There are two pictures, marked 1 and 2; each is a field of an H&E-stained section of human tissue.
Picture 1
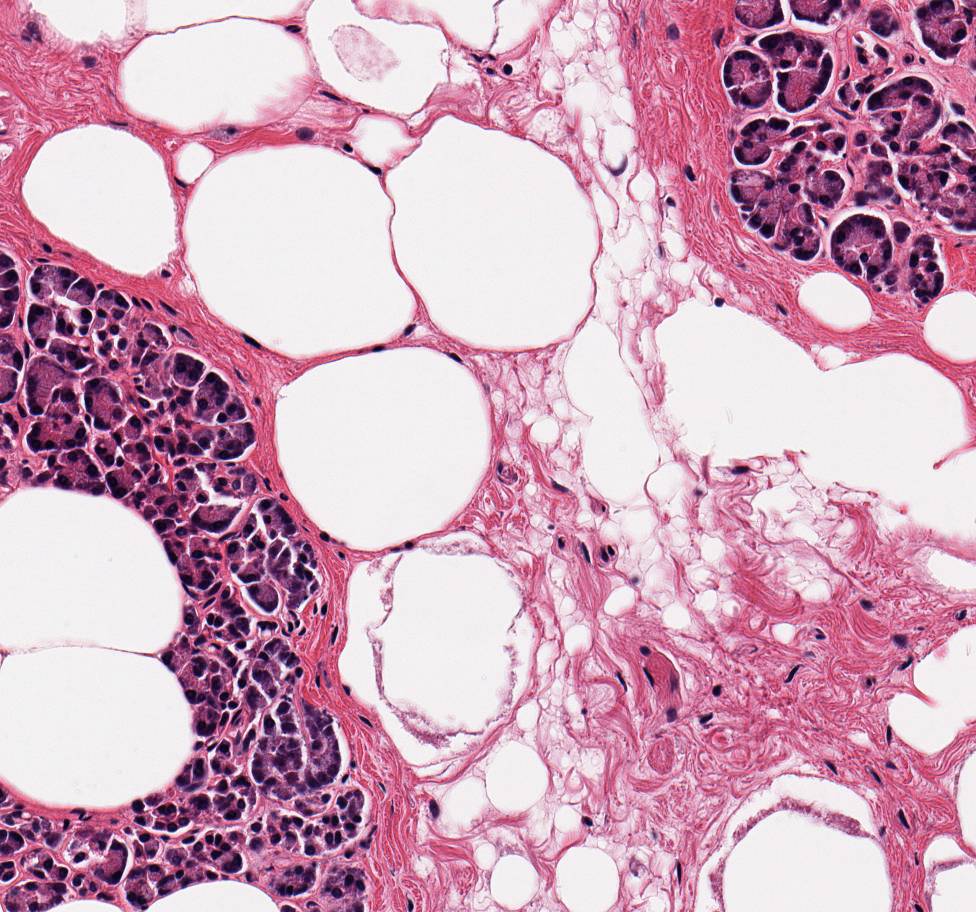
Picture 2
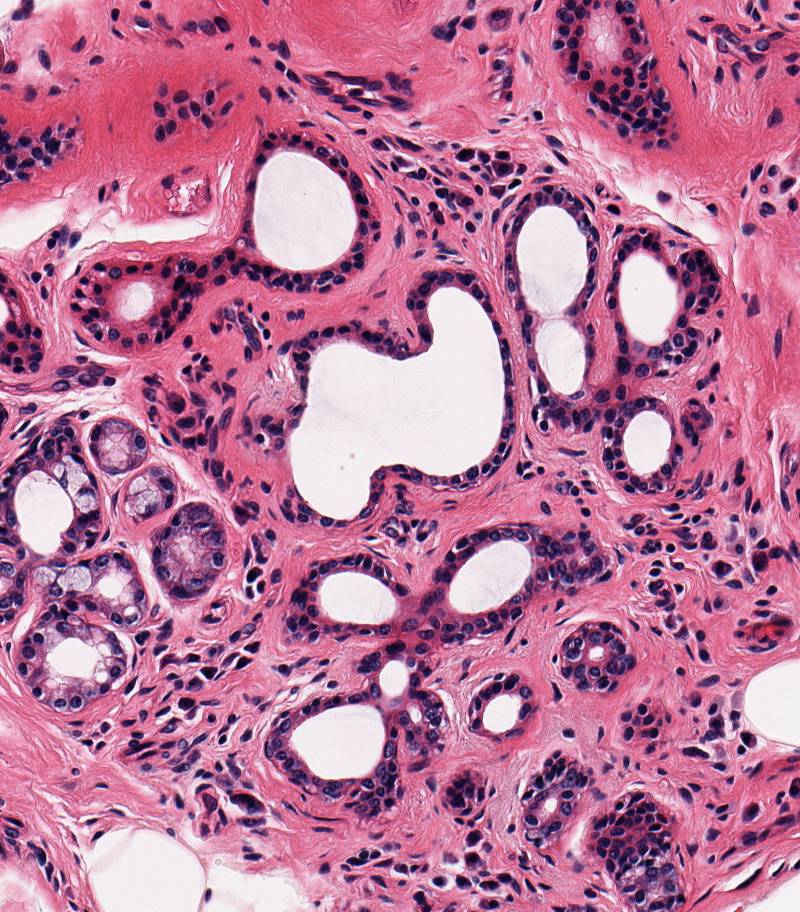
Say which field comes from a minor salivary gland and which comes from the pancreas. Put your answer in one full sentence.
Picture 1 comes from the pancreas and picture 2 comes from a minor salivary gland.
